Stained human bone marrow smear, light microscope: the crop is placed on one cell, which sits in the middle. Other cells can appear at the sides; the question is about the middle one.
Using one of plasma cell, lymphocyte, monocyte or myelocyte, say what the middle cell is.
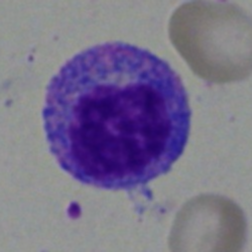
myelocyte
